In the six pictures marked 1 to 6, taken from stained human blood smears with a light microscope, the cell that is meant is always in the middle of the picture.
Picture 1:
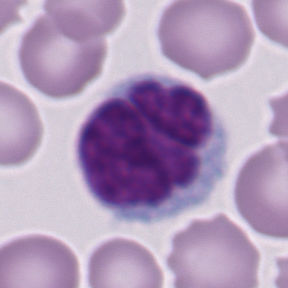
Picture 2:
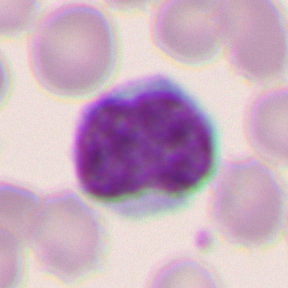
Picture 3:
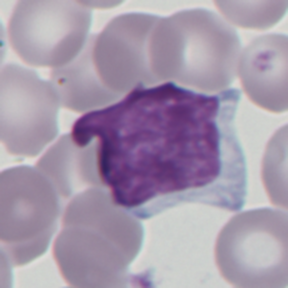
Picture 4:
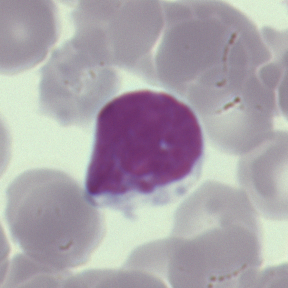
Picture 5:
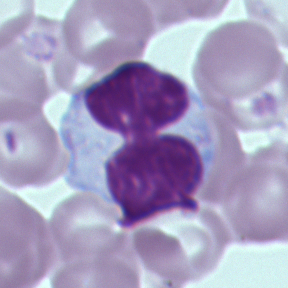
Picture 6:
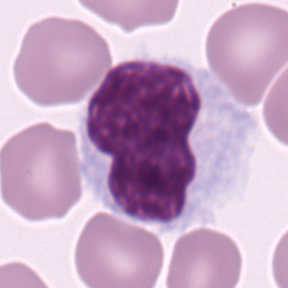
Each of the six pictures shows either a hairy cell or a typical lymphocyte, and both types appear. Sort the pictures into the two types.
1: hairy cell
2: typical lymphocyte
3: typical lymphocyte
4: typical lymphocyte
5: typical lymphocyte
6: hairy cell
